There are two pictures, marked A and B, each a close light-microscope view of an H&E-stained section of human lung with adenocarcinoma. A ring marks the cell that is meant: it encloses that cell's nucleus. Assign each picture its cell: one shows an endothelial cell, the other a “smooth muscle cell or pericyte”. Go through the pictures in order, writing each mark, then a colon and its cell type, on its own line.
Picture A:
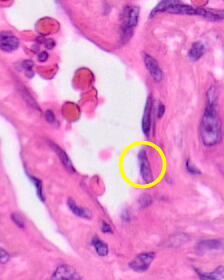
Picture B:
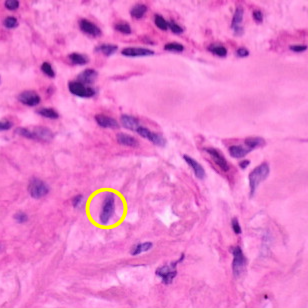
A: endothelial cell
B: smooth muscle cell or pericyte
